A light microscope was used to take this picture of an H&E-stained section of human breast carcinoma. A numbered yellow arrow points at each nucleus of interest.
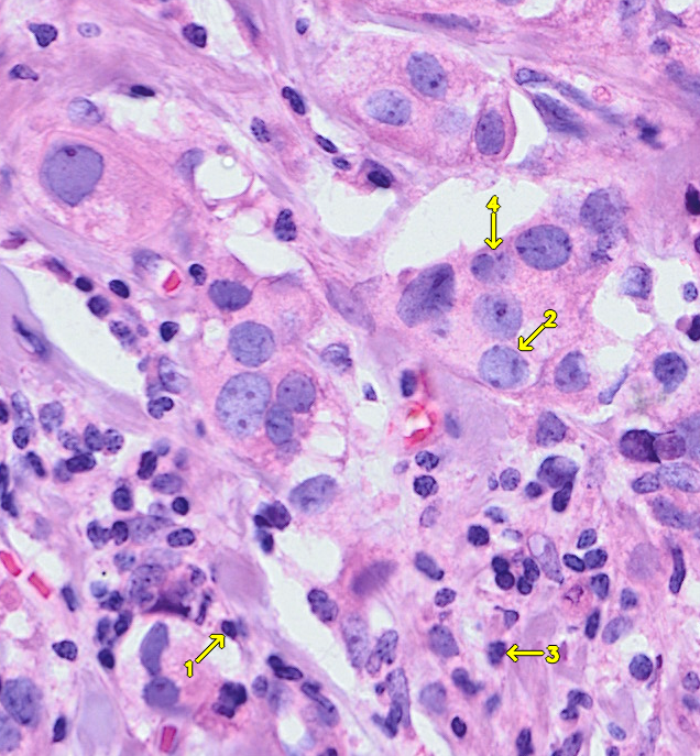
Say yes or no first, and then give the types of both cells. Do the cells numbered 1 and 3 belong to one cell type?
Yes, that is right: cells 1 and 3 are both lymphocytes.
